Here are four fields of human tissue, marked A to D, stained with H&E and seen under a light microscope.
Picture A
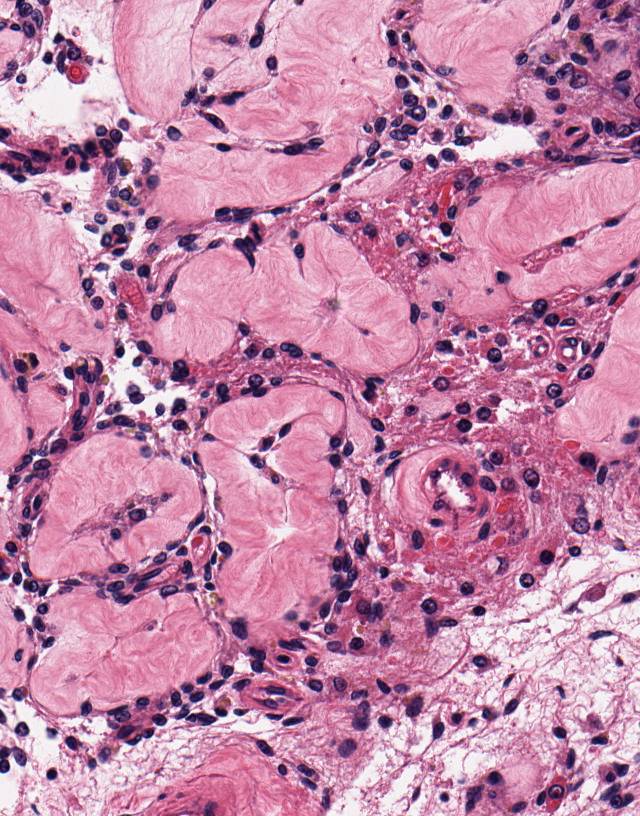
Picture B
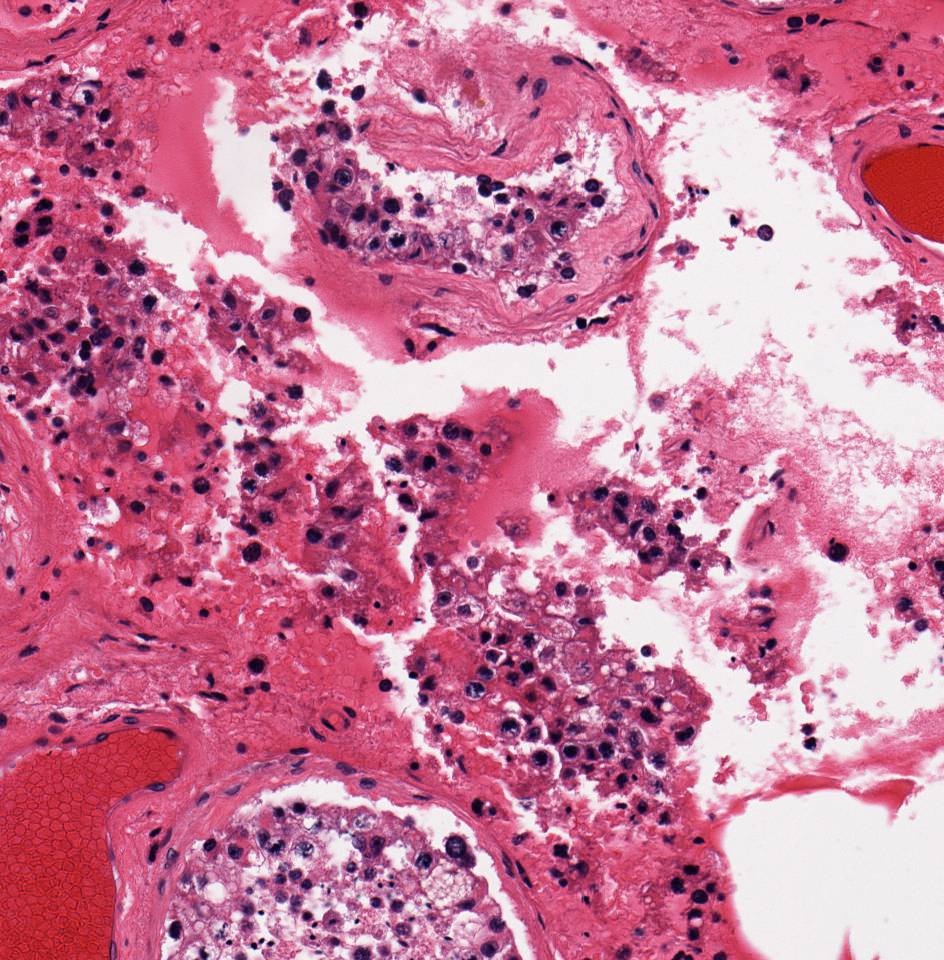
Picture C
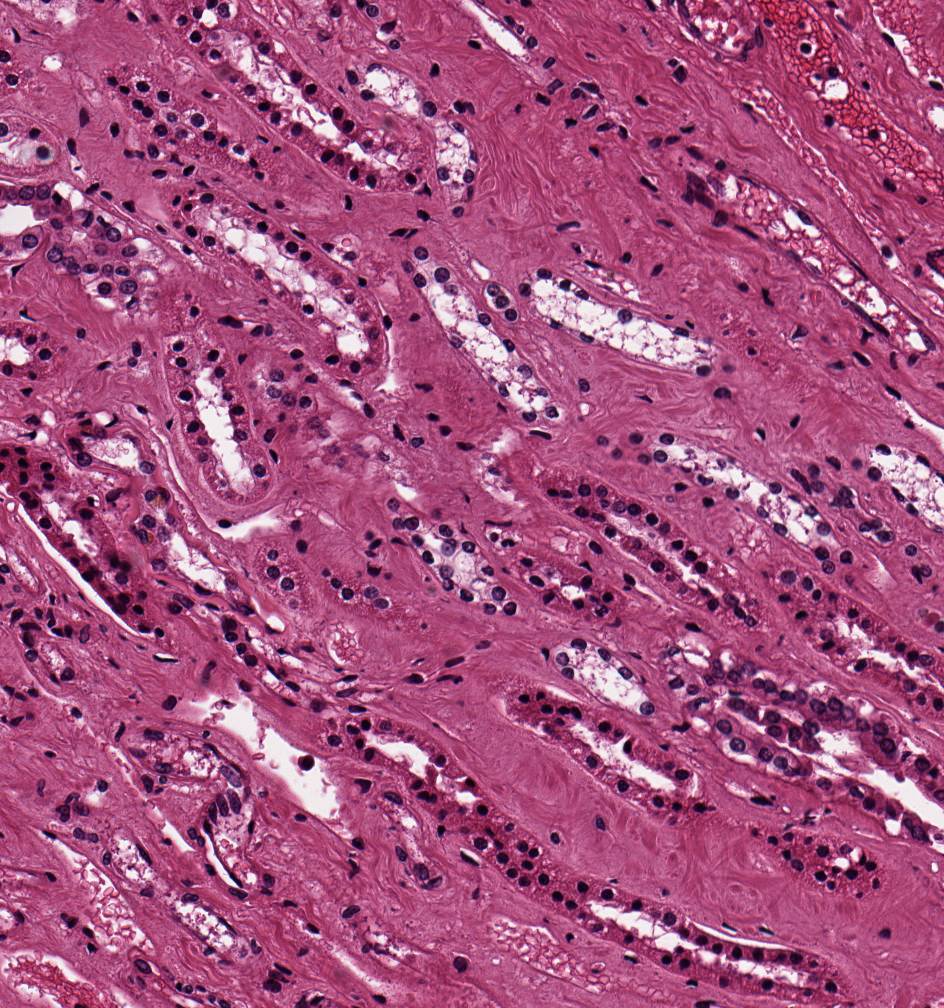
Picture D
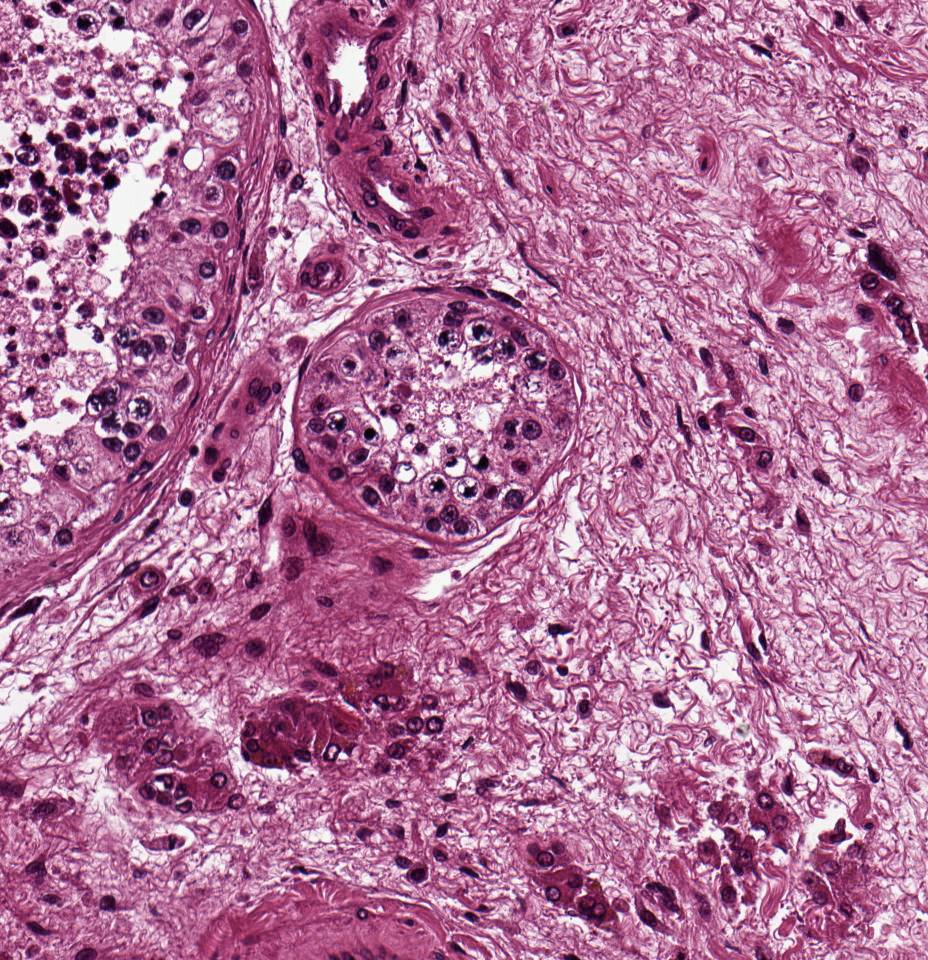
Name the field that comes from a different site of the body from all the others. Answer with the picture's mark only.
C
